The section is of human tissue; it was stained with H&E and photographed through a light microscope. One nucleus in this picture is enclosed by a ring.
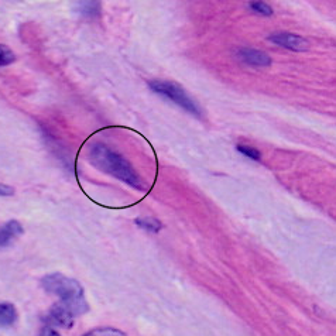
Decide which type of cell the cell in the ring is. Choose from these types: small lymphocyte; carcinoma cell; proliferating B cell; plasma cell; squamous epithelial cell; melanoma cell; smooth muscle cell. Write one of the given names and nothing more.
smooth muscle cell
